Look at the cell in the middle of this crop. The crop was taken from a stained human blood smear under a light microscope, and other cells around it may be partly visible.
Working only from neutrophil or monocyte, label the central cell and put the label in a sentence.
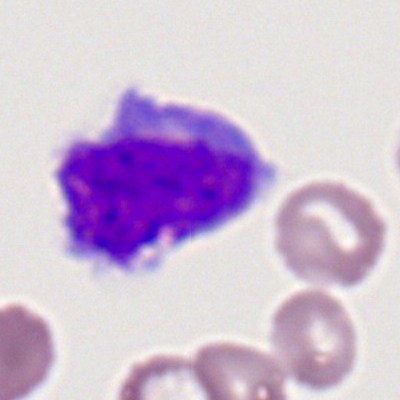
At the crop's centre, the cell is a monocyte.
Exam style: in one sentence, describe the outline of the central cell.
The cell membrane follows an uneven contour, either ragged or bearing projections.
